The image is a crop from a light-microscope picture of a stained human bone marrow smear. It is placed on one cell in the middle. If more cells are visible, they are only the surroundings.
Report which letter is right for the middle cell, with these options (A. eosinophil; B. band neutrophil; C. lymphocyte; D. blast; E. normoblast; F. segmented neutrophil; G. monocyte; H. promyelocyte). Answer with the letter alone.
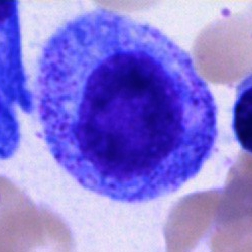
H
